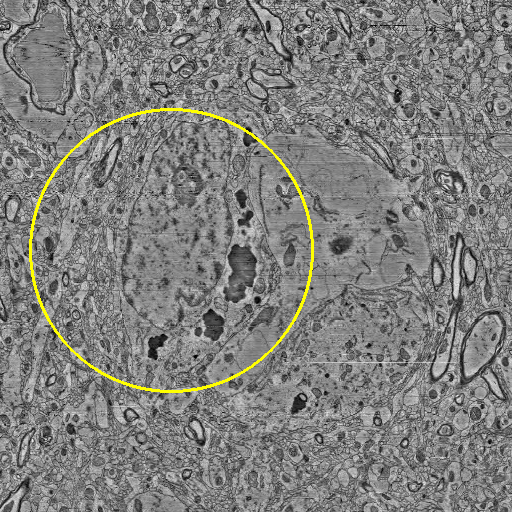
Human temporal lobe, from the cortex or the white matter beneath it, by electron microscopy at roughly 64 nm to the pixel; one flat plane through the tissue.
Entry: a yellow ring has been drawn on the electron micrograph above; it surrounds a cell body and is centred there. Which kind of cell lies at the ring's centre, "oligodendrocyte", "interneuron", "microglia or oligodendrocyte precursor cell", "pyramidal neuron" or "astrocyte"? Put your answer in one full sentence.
The cell sitting at the ring's centre is an interneuron in the micrograph above.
